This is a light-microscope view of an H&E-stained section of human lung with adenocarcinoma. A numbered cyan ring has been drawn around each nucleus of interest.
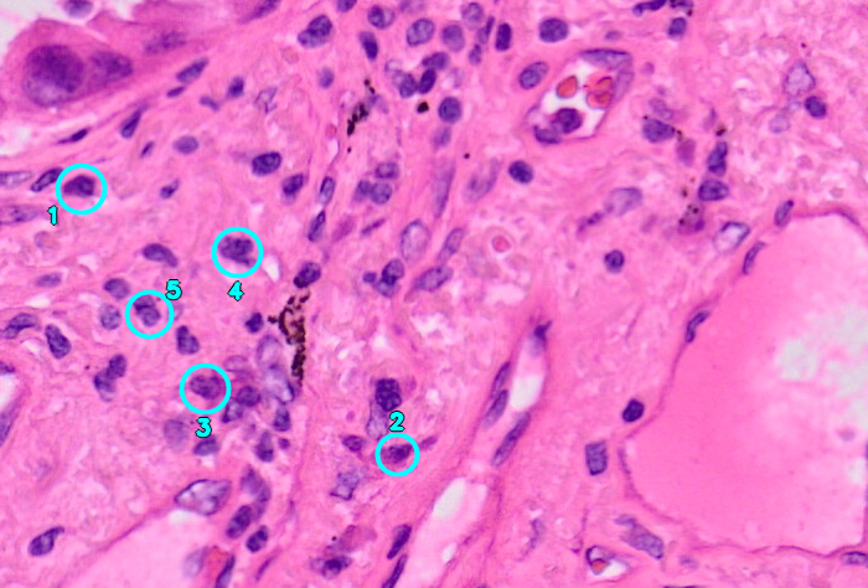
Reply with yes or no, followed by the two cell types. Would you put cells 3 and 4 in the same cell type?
No, the cell at number 3 is a plasma cell, and the cell at number 4 is a lymphocyte.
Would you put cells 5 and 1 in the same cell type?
Yes, both of the cells numbered 5 and 1 are lymphocytes.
